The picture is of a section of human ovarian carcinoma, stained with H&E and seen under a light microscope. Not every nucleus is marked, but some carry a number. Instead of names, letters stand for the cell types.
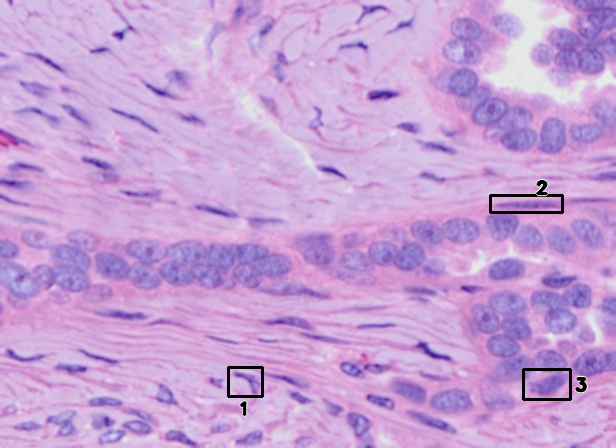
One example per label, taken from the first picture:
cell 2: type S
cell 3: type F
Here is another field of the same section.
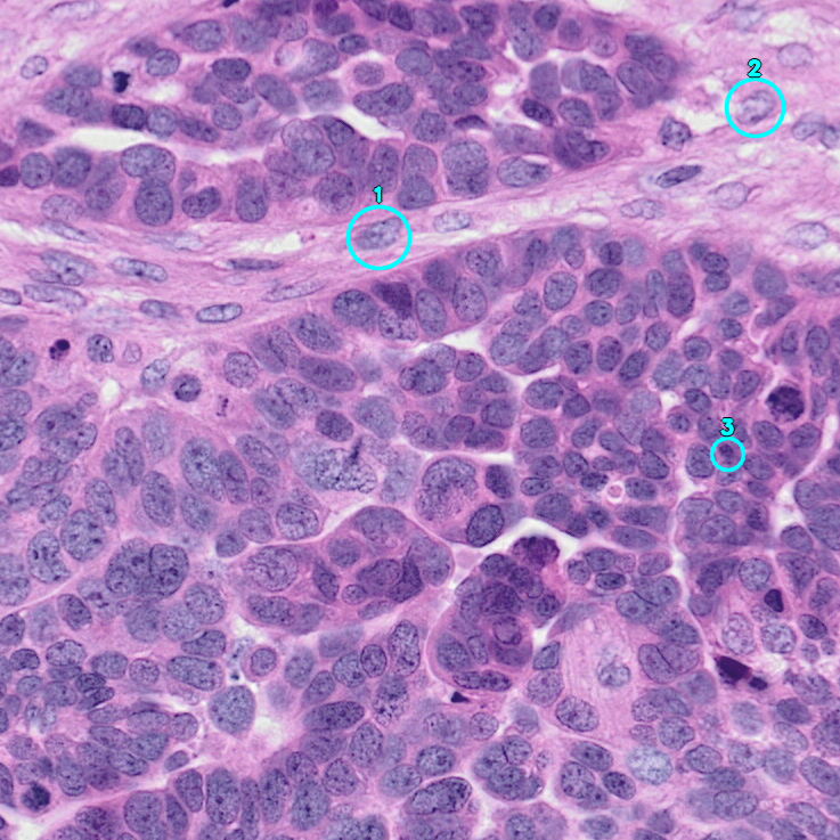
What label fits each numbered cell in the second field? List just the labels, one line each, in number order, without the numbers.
type S
type S
type F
